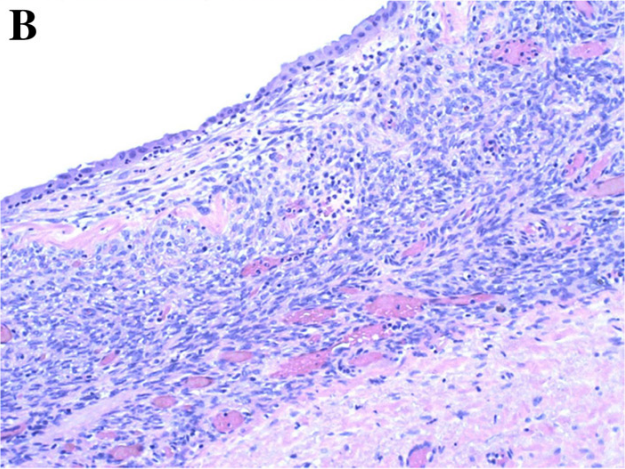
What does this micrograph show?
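This is the wall of a cyst, lined at the top by a single layer of cuboidal epithelial cells with round nuclei. Beneath the lining lies a dense, cellular ovarian-like stroma of spindle cells with plump, dark, elongated nuclei packed closely together, with small pink blood vessels scattered among them. Deeper down, the stroma gives way to paler pink, less cellular collagenous tissue.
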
